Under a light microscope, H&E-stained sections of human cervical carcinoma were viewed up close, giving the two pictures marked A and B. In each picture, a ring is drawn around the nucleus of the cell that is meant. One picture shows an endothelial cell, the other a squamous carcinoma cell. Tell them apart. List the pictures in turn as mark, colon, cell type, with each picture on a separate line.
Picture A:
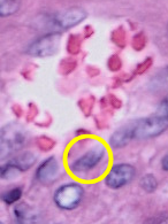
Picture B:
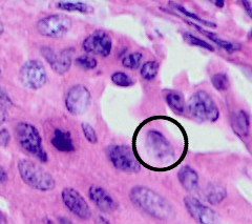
A: endothelial cell
B: squamous carcinoma cell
